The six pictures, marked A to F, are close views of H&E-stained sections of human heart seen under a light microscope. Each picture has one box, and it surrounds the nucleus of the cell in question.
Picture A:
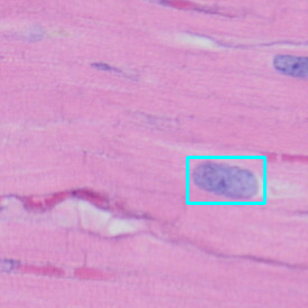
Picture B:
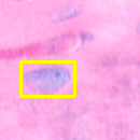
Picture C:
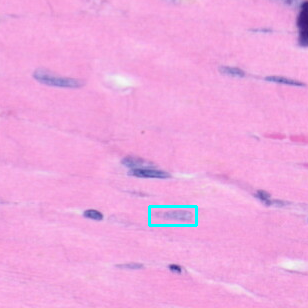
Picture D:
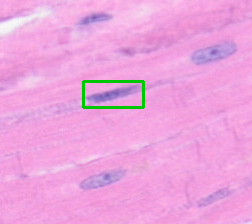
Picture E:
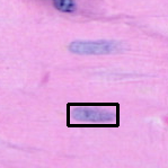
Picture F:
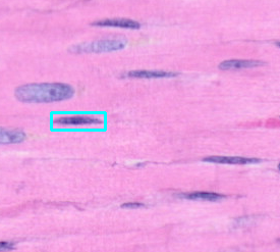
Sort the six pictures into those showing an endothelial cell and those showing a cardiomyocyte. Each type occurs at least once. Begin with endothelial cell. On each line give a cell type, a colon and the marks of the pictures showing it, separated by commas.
endothelial cell: D, F
cardiomyocyte: A, B, C, E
